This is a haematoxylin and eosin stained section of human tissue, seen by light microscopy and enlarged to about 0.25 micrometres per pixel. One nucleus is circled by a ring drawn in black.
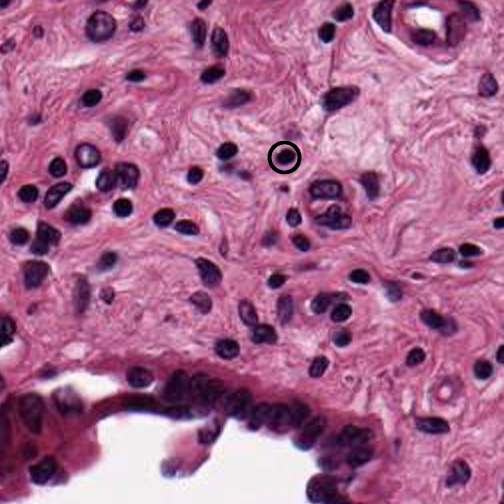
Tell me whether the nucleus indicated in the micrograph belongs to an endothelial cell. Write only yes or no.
no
